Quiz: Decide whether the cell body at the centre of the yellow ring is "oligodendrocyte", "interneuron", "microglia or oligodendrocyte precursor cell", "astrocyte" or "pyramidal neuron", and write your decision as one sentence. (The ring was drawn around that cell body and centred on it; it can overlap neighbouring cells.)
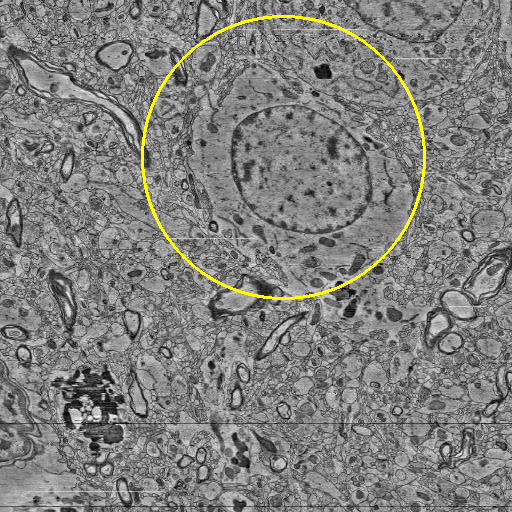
The cell the ring is centred on is an astrocyte.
